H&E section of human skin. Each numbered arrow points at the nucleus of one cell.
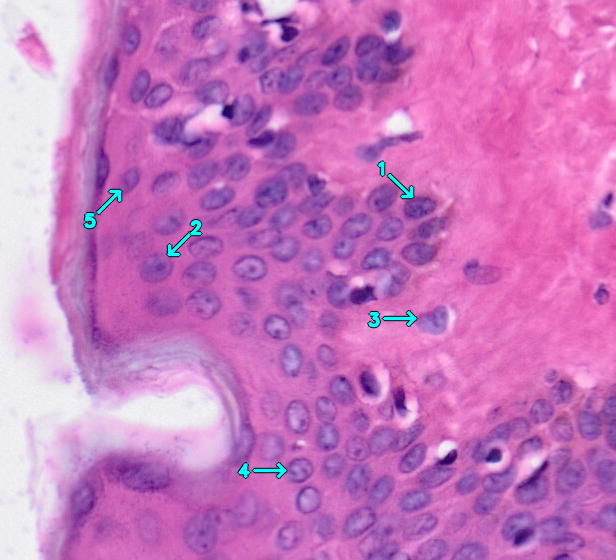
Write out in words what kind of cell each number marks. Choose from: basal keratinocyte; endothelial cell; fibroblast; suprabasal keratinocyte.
Cell 1 is a basal keratinocyte. Cells 2, 4 and 5 are suprabasal keratinocytes. Cell 3 is a fibroblast.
